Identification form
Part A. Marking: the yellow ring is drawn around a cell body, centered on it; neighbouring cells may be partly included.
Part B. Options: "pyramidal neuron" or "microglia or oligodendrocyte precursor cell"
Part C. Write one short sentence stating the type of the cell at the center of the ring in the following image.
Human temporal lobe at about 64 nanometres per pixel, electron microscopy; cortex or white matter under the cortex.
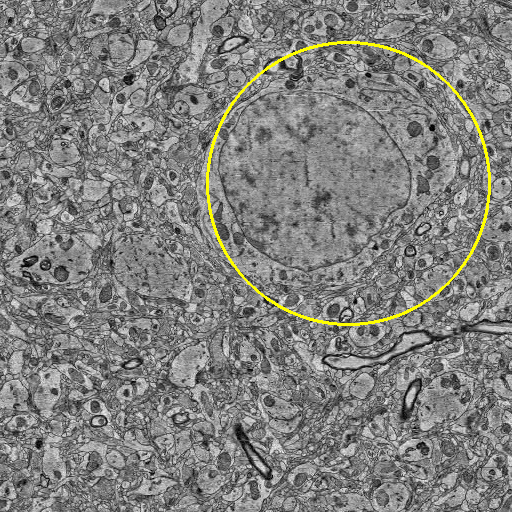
The center of the ring holds a pyramidal neuron.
